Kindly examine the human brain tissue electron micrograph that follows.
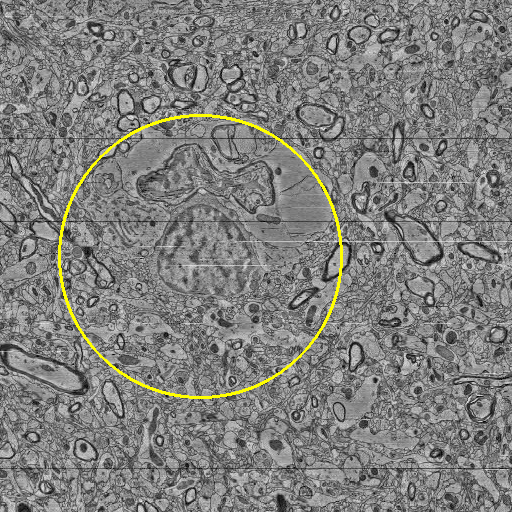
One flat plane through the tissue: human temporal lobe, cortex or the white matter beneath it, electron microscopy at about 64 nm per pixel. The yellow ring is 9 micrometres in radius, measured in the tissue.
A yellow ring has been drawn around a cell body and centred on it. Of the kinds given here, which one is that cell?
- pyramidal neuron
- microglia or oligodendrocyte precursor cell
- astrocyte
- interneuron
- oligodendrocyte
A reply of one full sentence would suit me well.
The micrograph's ringed cell, the one at the ring's centre, is an oligodendrocyte.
